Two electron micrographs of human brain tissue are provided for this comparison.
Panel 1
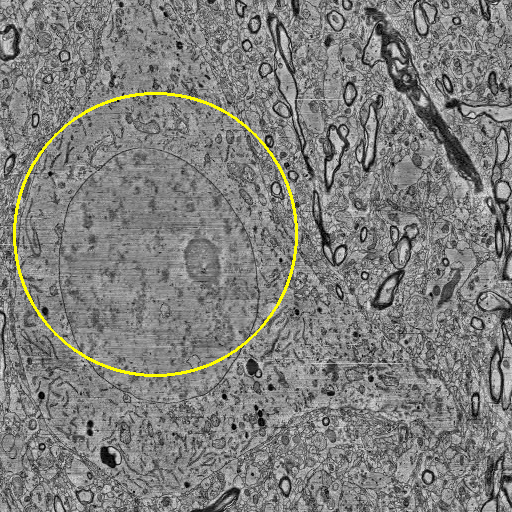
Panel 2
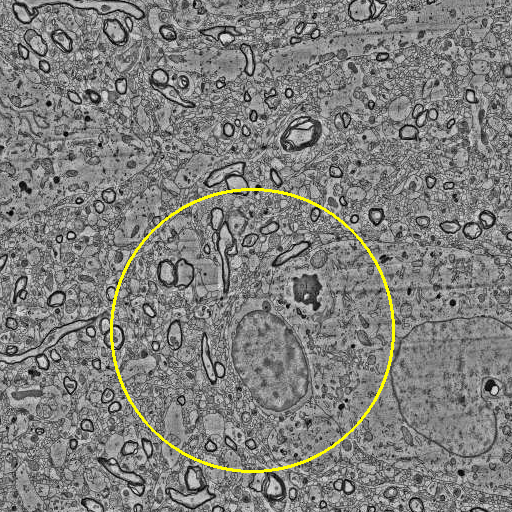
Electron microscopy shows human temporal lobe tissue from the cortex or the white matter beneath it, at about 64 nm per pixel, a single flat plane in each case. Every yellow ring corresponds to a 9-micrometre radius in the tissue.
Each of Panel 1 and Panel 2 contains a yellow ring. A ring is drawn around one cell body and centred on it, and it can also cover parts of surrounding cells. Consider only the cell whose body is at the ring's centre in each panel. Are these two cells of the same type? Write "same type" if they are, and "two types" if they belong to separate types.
two types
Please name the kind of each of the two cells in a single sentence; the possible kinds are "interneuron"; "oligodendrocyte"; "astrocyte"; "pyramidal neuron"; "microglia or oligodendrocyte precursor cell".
In the first picture the ring is centred on a pyramidal neuron, and in the second on an oligodendrocyte.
